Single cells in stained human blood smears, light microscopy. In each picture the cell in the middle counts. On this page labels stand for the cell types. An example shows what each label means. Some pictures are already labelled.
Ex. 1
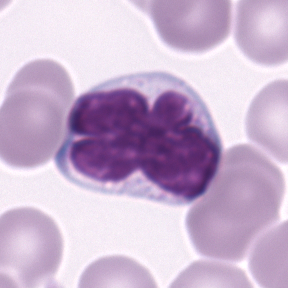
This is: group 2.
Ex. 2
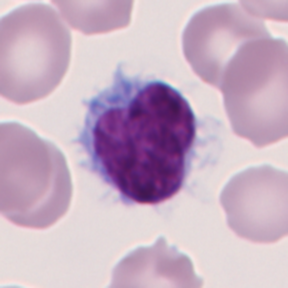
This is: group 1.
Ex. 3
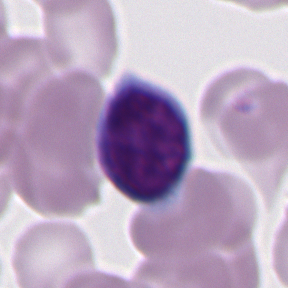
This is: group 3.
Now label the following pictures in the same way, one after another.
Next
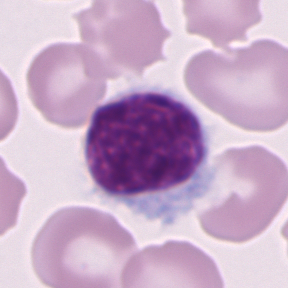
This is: group 1.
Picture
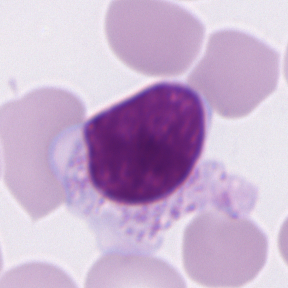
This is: group 2.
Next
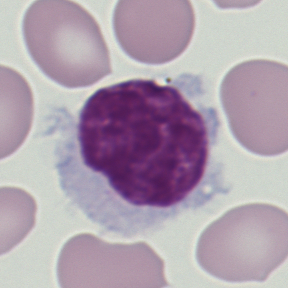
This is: group 1.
